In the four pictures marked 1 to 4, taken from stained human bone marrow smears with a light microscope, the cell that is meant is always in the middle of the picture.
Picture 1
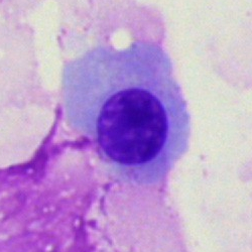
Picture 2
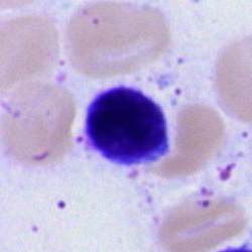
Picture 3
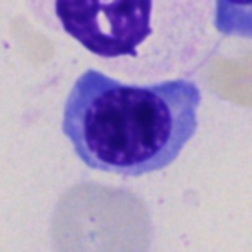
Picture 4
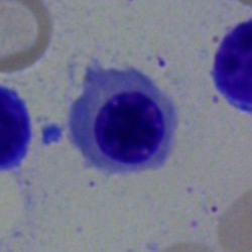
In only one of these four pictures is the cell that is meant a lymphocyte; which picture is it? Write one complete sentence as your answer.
The lymphocyte is the one in picture 2.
